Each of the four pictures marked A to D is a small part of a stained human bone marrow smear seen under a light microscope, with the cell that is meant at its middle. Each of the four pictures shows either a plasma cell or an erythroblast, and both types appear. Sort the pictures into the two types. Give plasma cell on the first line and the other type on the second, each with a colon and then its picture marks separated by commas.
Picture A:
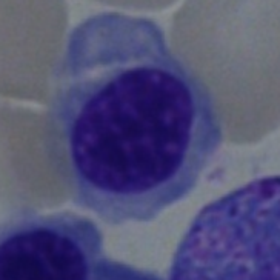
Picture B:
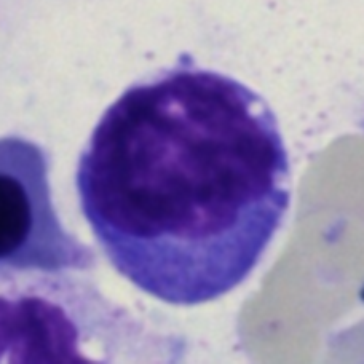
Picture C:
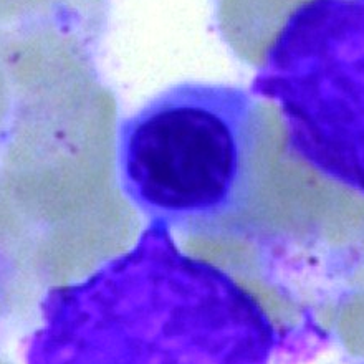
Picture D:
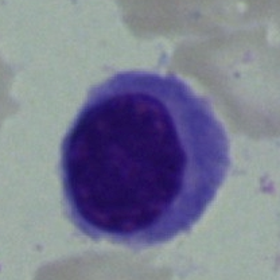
plasma cell: B, D
erythroblast: A, C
